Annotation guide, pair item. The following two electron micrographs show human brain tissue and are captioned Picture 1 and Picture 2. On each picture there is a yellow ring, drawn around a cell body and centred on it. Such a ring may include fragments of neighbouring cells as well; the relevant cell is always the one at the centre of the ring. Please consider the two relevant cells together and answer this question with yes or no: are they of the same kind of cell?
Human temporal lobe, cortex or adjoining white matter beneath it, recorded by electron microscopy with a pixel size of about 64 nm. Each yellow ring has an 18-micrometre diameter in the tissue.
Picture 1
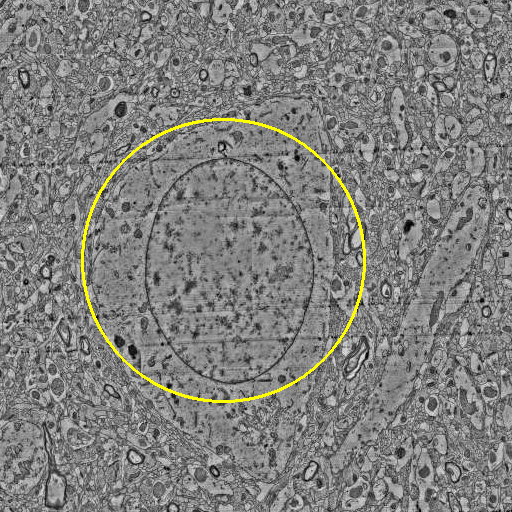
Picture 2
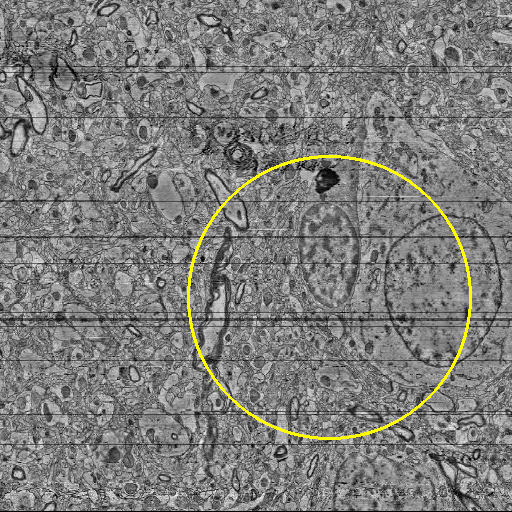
no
